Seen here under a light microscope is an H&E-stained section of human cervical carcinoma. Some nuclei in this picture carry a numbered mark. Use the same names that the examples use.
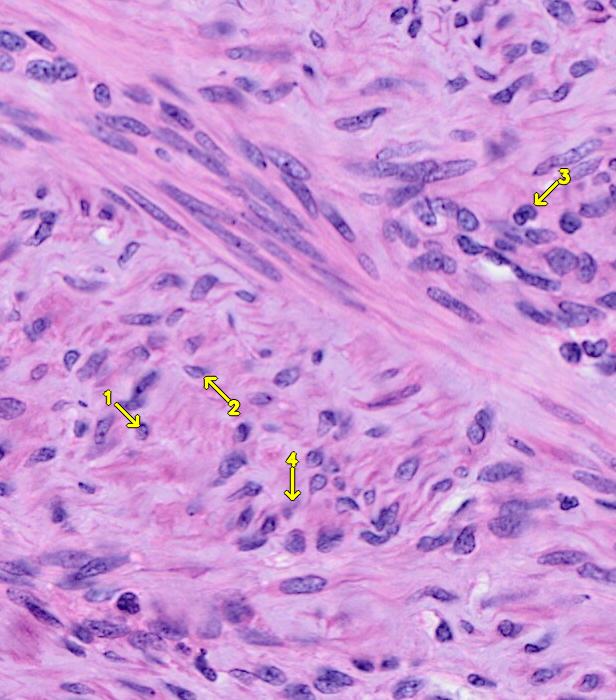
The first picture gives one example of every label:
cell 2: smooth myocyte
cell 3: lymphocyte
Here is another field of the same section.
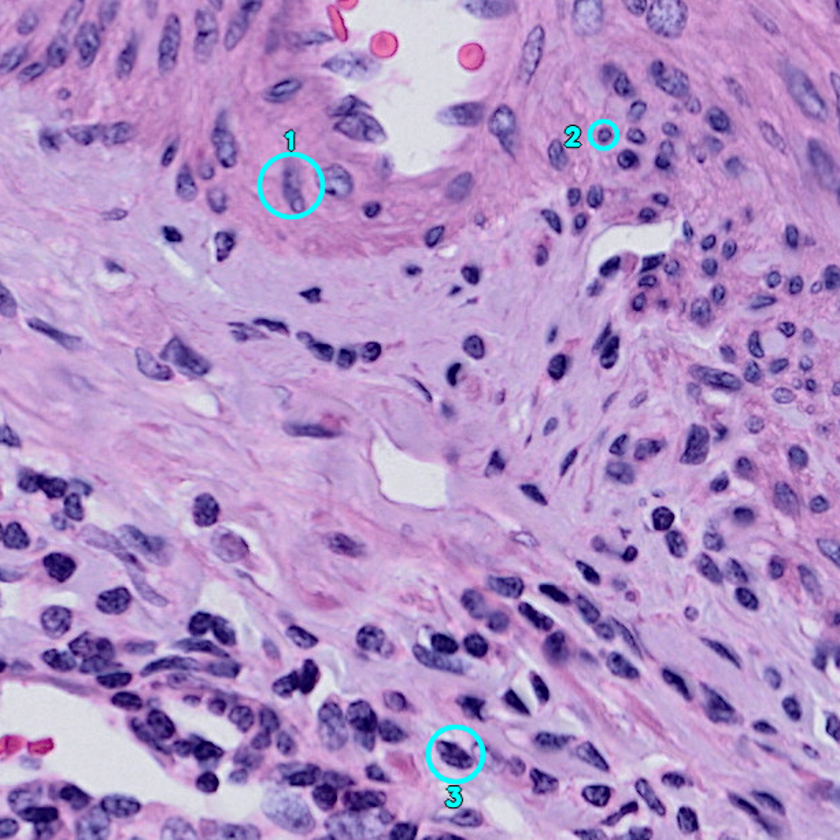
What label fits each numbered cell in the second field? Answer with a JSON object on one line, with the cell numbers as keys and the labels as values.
{"1": "smooth myocyte", "2": "smooth myocyte", "3": "lymphocyte"}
